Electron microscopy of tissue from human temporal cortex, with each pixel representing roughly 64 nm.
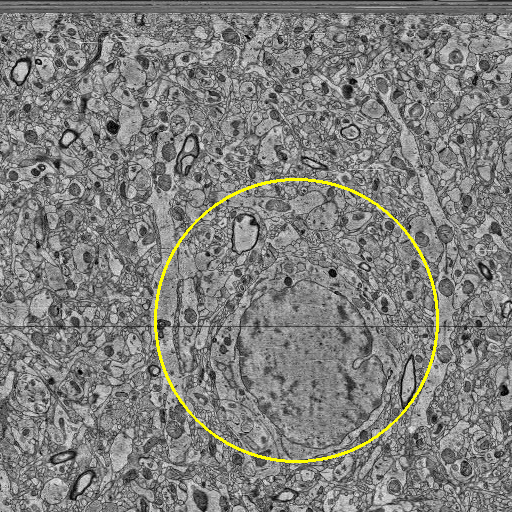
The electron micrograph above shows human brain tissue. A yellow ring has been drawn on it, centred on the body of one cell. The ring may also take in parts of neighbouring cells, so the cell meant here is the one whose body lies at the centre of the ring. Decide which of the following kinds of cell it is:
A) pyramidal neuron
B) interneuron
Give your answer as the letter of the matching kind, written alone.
B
